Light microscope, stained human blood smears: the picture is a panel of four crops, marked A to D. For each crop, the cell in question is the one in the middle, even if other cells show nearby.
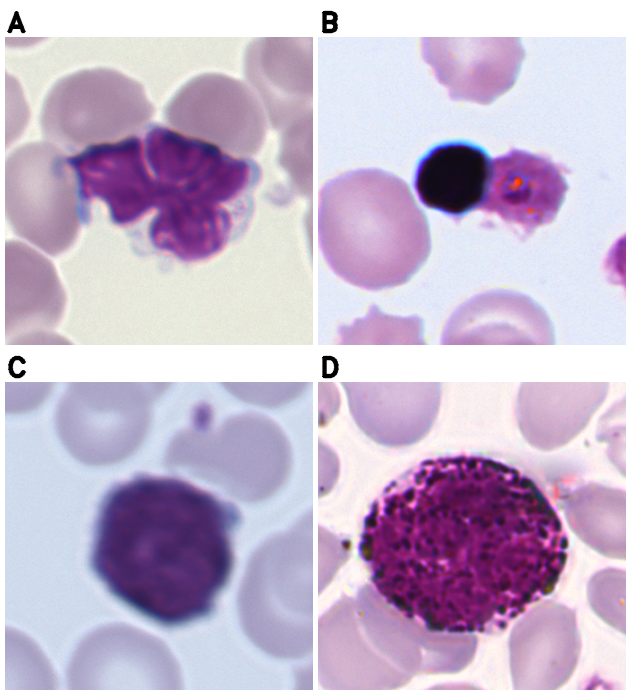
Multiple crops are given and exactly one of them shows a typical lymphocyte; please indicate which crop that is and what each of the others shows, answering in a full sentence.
Crop C is where a typical lymphocyte is shown, whereas crop A is a large granular lymphocyte, crop B is a normoblast and crop D is a basophil.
